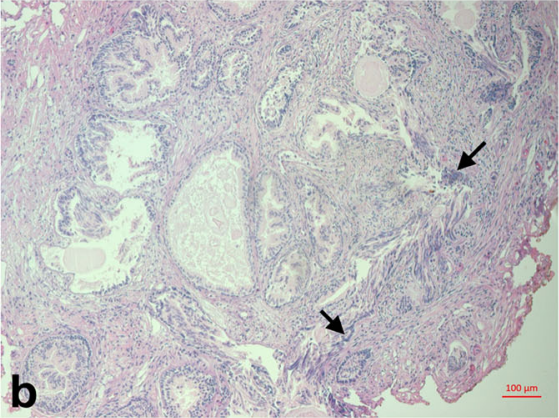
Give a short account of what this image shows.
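Prostatic glands in fibromuscular stroma with a few scattered foci of inflammatory cells. The glands vary in size, with folded epithelial linings and pale pink secretions in some lumens. Small clusters of dark purple nuclei lie in the pink stroma between the glands. Most of the stroma is free of dense cell infiltrate.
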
